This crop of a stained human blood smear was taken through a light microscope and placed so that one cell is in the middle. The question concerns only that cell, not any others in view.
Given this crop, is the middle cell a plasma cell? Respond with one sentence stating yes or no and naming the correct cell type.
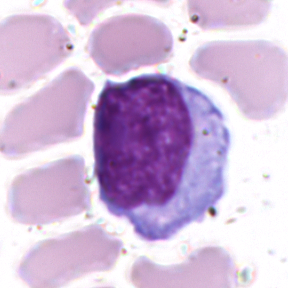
Yes, a plasma cell occupies the middle of the crop.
